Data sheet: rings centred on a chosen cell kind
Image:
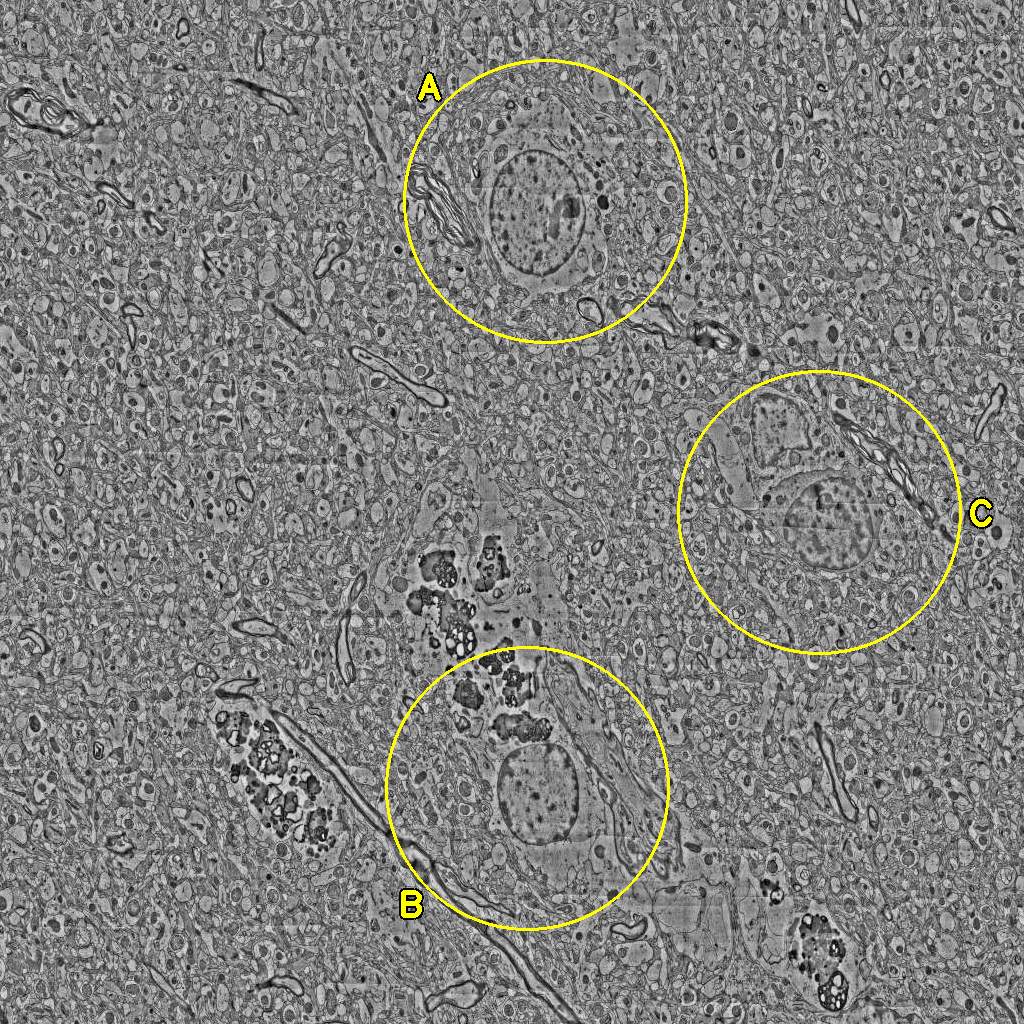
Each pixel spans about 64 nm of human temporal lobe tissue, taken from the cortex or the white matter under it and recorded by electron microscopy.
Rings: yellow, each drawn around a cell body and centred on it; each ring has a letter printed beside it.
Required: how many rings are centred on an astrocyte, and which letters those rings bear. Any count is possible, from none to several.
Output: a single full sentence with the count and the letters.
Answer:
Taken together, the rings with the letters A and B number two, each centred on an astrocyte.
